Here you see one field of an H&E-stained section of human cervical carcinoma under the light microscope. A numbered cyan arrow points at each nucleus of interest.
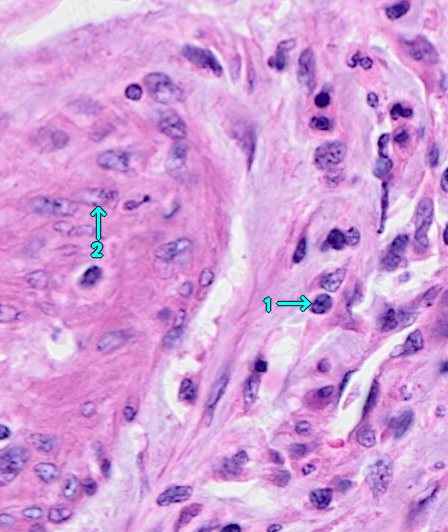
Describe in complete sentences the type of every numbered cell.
Cell 1 is a lymphocyte. Cell 2 is a smooth muscle cell.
